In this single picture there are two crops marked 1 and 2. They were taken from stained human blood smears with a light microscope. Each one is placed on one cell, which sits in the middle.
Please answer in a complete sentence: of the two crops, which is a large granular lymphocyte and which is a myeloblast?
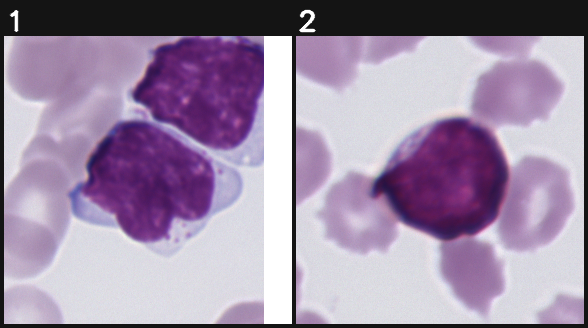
As for the pair, crop 1 is a large granular lymphocyte and crop 2 is a myeloblast.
